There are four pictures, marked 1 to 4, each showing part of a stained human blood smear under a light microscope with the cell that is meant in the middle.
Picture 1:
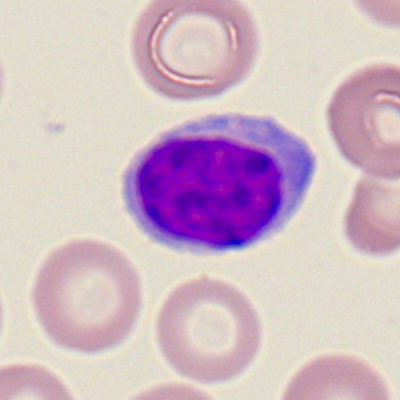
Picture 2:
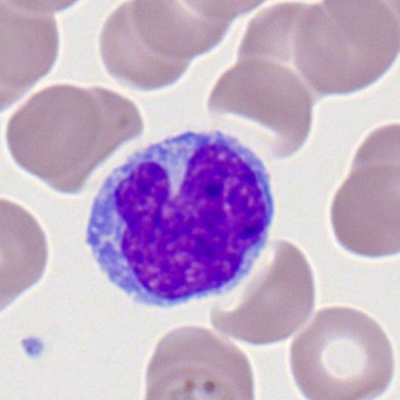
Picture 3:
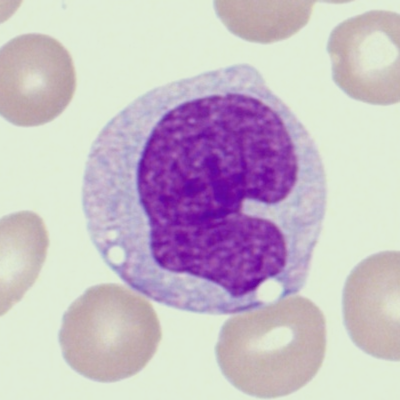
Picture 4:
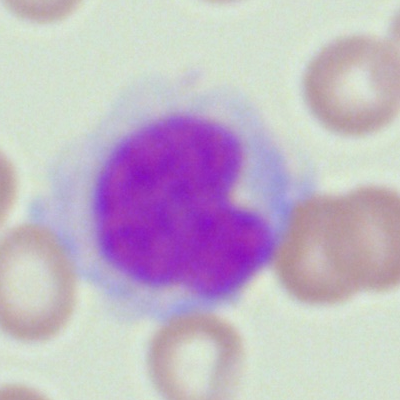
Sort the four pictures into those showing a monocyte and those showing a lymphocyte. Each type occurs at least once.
1: lymphocyte
2: monocyte
3: monocyte
4: monocyte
